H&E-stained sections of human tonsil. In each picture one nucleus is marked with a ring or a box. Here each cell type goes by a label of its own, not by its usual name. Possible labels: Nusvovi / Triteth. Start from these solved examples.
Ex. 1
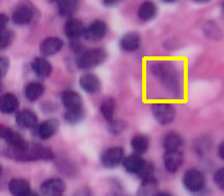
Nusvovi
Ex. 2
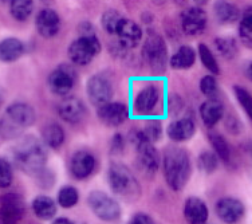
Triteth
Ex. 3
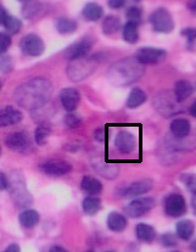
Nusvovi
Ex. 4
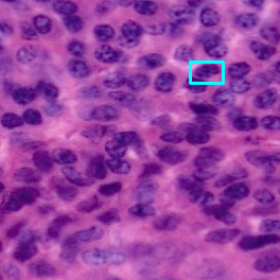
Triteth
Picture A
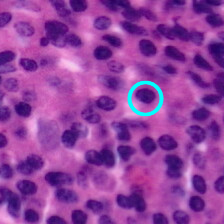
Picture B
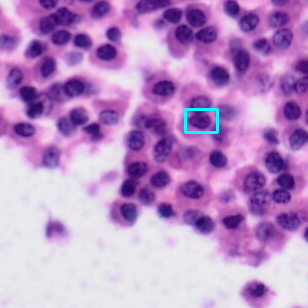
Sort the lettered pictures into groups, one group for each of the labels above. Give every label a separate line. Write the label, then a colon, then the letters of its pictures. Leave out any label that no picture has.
Triteth: A, B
